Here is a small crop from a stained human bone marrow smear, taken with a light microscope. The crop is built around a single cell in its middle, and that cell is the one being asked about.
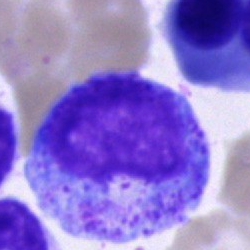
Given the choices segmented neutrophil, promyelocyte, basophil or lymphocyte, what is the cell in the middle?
promyelocyte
